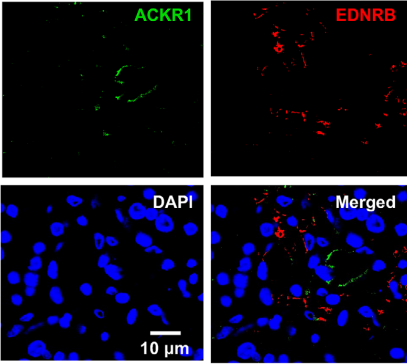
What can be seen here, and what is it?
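The green signal is sparse. It runs as thin, curving, threadlike lines between the nuclei, like the lining of a small vessel. The red signal is granular and patchy, forming small dots and clusters scattered between the nuclei in several places. In the merged image, the green and red mostly lie in different places rather than overlapping. Most nuclei have neither colour close by.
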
